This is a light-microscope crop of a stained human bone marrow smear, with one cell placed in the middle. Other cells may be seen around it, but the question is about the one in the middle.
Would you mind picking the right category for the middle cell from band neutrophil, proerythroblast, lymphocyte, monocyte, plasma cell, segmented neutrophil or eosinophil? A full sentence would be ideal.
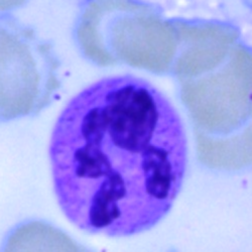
The cell shown in the center of this light-microscope crop is a segmented neutrophil.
